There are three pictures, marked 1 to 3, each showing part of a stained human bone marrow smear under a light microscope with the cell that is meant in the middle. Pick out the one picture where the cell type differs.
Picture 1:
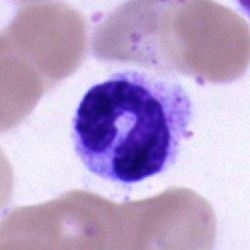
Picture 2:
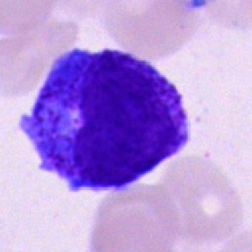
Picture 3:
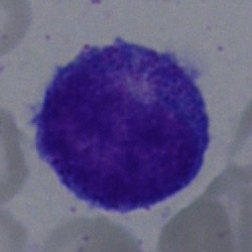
1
